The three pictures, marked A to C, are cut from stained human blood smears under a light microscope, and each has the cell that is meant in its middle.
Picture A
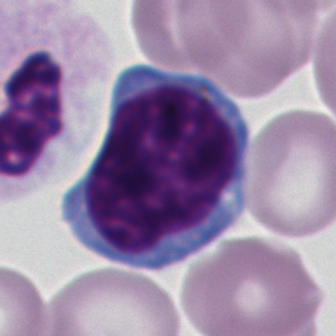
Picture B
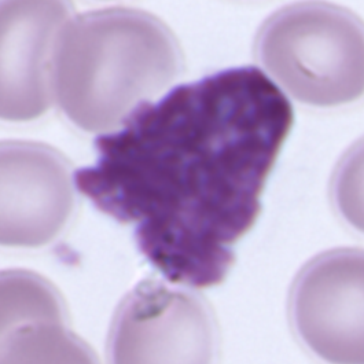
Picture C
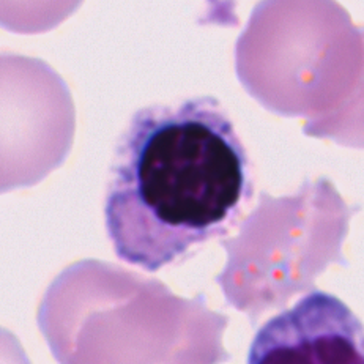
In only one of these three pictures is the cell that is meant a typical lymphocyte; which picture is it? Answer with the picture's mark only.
A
